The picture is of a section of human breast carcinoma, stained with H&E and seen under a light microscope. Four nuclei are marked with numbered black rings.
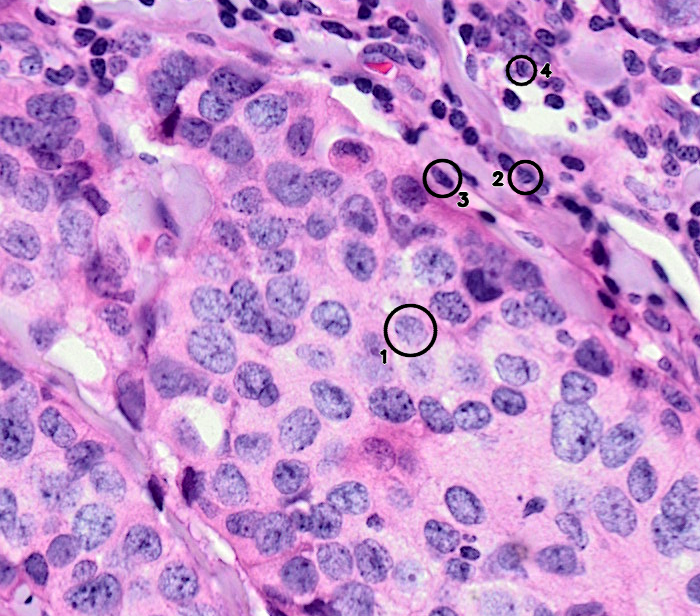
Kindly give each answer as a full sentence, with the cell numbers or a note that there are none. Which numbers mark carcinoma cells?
Cell 1 is a carcinoma cell; every other numbered cell is something else.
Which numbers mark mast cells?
The marked and numbered cells comprise no mast cells.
